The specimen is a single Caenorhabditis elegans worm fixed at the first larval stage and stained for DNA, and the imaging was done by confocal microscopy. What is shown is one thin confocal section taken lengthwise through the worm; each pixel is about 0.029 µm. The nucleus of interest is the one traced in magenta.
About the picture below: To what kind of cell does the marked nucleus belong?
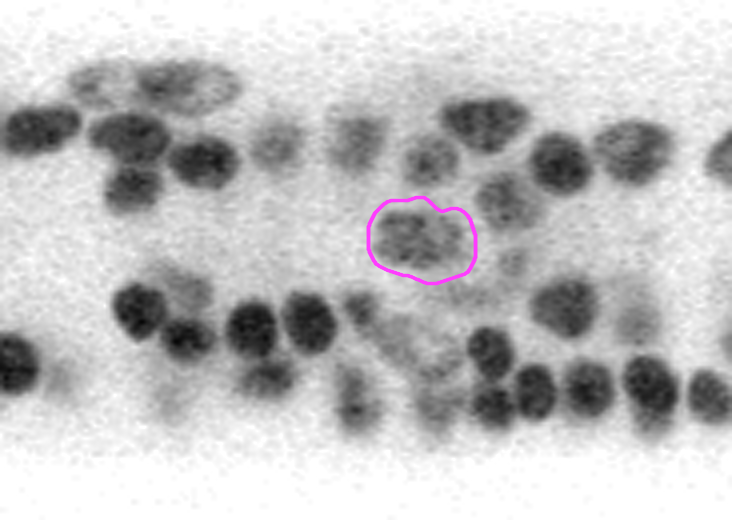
pharyngeal marginal cell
